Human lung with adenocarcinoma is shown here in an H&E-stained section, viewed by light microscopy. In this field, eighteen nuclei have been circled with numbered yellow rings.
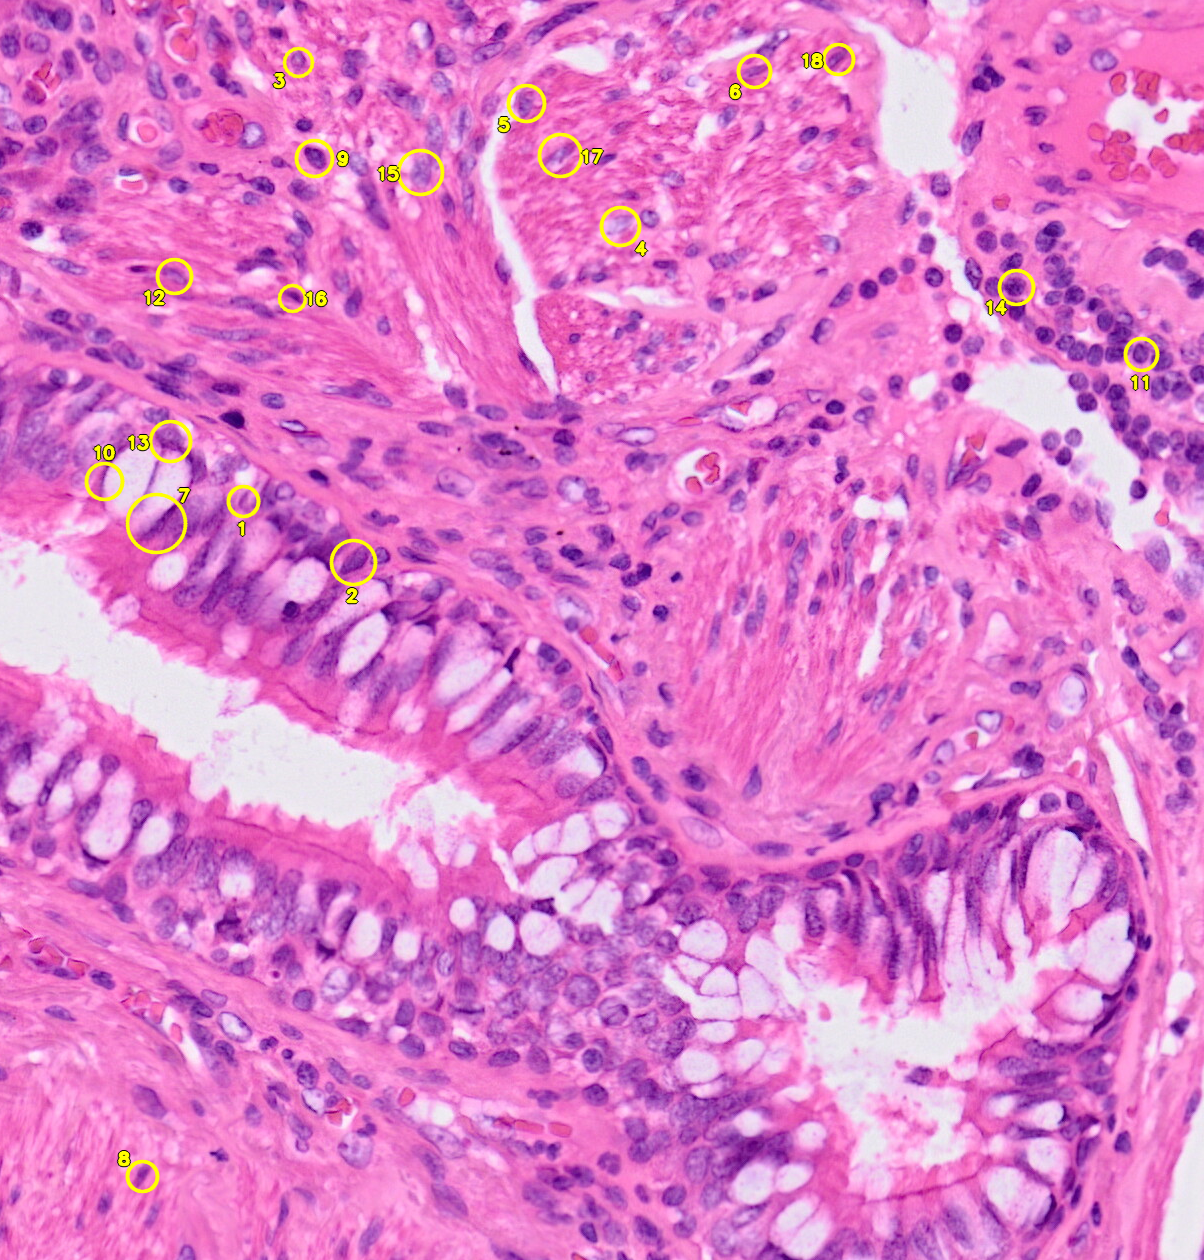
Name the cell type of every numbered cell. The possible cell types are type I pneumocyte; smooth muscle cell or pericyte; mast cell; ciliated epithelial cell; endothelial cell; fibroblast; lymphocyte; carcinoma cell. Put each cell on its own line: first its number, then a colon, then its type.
1: ciliated epithelial cell
2: ciliated epithelial cell
3: smooth muscle cell or pericyte
4: smooth muscle cell or pericyte
5: smooth muscle cell or pericyte
6: smooth muscle cell or pericyte
7: ciliated epithelial cell
8: smooth muscle cell or pericyte
9: mast cell
10: ciliated epithelial cell
11: lymphocyte
12: smooth muscle cell or pericyte
13: ciliated epithelial cell
14: lymphocyte
15: smooth muscle cell or pericyte
16: smooth muscle cell or pericyte
17: smooth muscle cell or pericyte
18: smooth muscle cell or pericyte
